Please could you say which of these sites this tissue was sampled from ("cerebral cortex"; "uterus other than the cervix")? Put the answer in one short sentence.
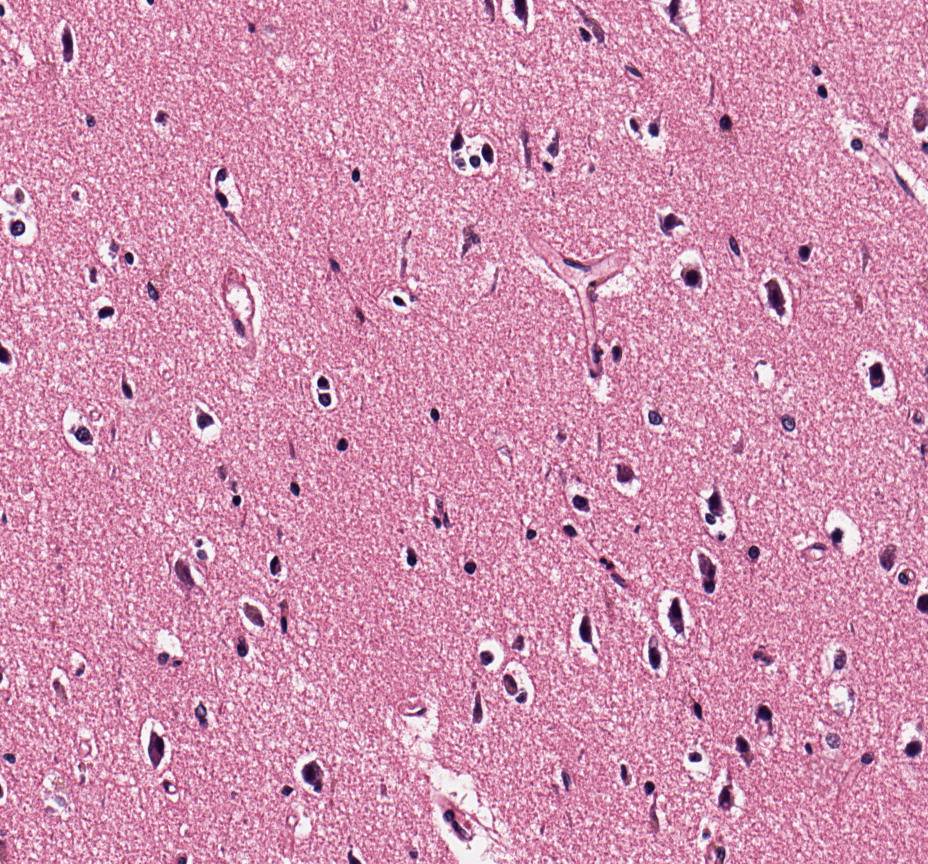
The site this tissue was sampled from is the cerebral cortex.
